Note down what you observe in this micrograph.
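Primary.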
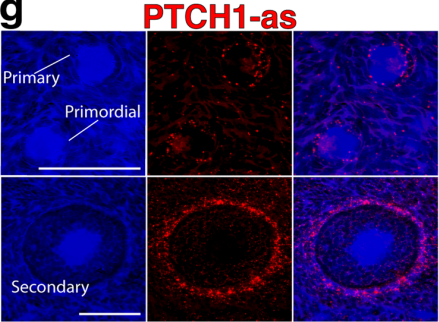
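In the upper row, two small follicles are seen, each a rounded oocyte with a thin rim of surrounding cells. Red dots gather around the upper, somewhat larger follicle, while the smaller one has fewer dots. Fewer scattered dots lie in the stroma away from the follicles.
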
